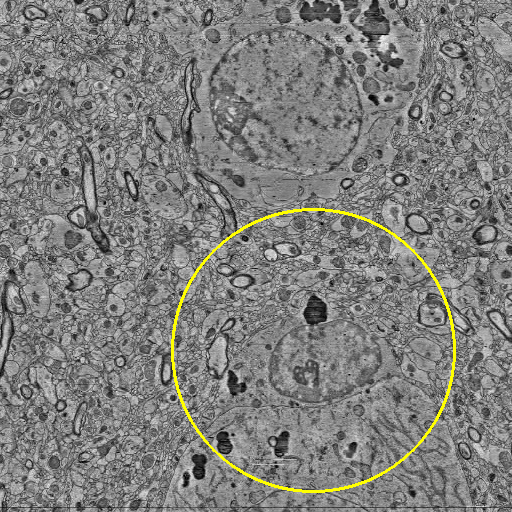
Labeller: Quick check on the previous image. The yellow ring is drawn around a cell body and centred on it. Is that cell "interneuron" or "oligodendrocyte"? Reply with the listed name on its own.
oligodendrocyte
